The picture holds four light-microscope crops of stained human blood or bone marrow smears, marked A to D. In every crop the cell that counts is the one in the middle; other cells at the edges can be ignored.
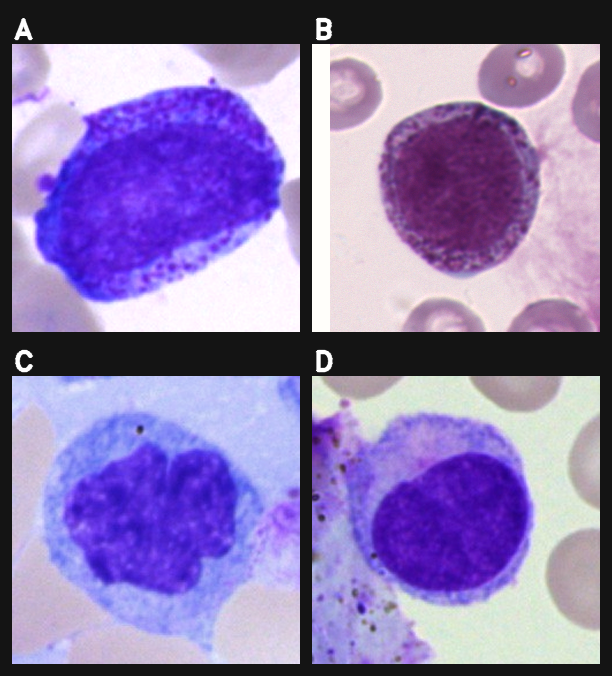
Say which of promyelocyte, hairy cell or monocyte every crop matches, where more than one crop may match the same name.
A: promyelocyte
B: promyelocyte
C: monocyte
D: hairy cell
